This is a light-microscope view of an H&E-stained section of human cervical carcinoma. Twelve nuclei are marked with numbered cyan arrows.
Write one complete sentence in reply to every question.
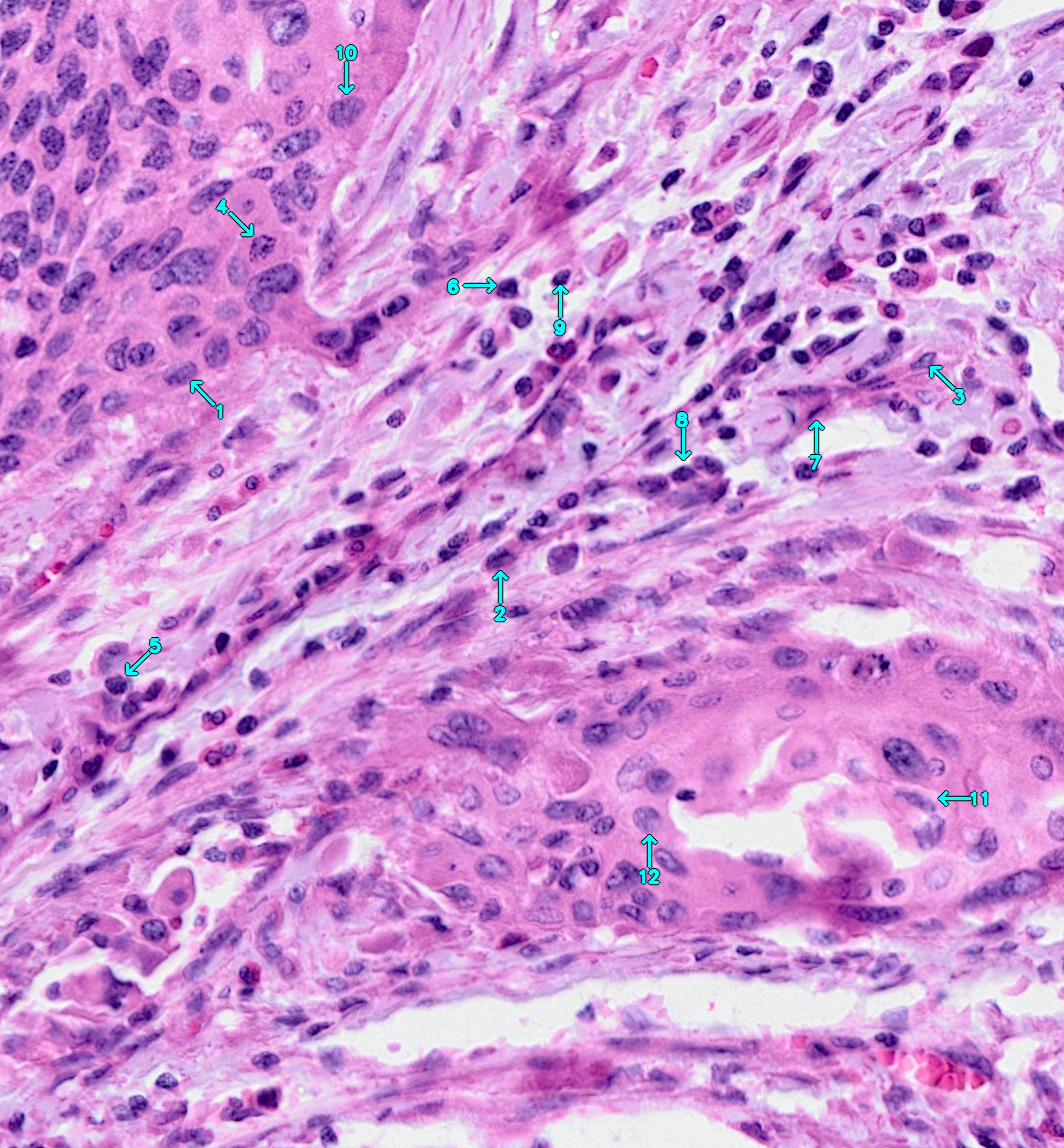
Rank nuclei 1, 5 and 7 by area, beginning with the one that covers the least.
From smallest to largest, the order is 7, 5, 1.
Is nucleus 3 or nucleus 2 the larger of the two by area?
Nucleus 2 covers more area, about 2 times as much as nucleus 3.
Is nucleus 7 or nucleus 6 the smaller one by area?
Nucleus 7 covers less area, with nucleus 6 about 2 times as large.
